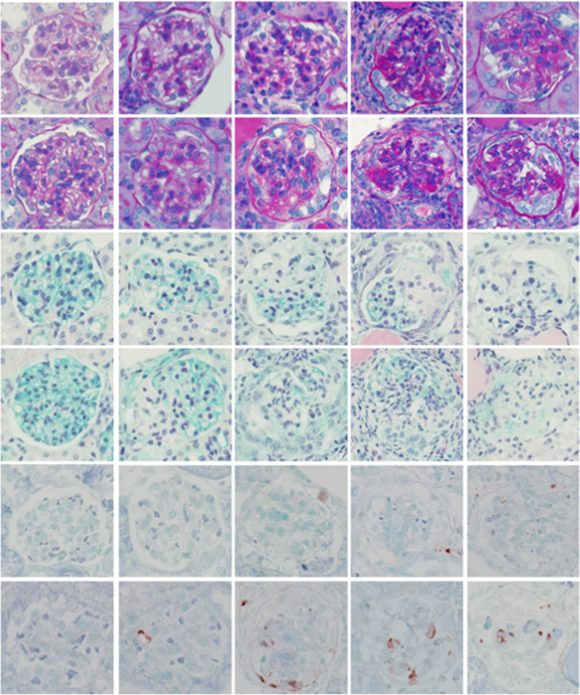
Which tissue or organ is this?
Renal tissue.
